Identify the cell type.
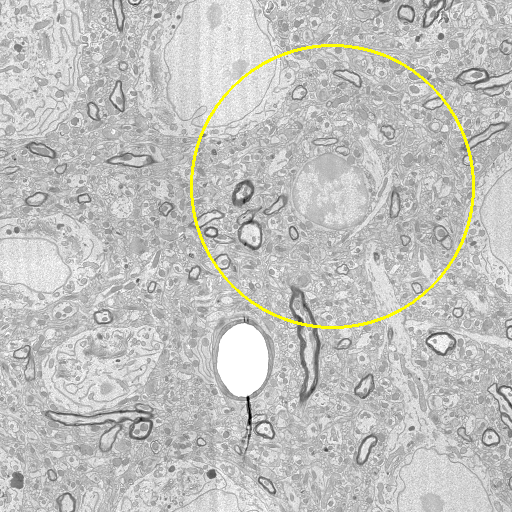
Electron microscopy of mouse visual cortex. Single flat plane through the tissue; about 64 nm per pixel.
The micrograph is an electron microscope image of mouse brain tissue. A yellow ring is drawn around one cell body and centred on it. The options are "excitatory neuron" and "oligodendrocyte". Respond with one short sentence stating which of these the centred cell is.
The cell body in the ring belongs to an oligodendrocyte.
